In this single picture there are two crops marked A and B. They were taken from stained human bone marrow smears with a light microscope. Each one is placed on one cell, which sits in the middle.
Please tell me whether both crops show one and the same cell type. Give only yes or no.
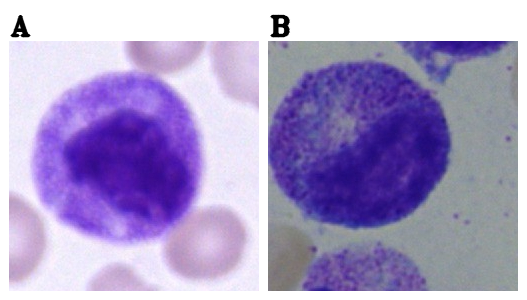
yes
